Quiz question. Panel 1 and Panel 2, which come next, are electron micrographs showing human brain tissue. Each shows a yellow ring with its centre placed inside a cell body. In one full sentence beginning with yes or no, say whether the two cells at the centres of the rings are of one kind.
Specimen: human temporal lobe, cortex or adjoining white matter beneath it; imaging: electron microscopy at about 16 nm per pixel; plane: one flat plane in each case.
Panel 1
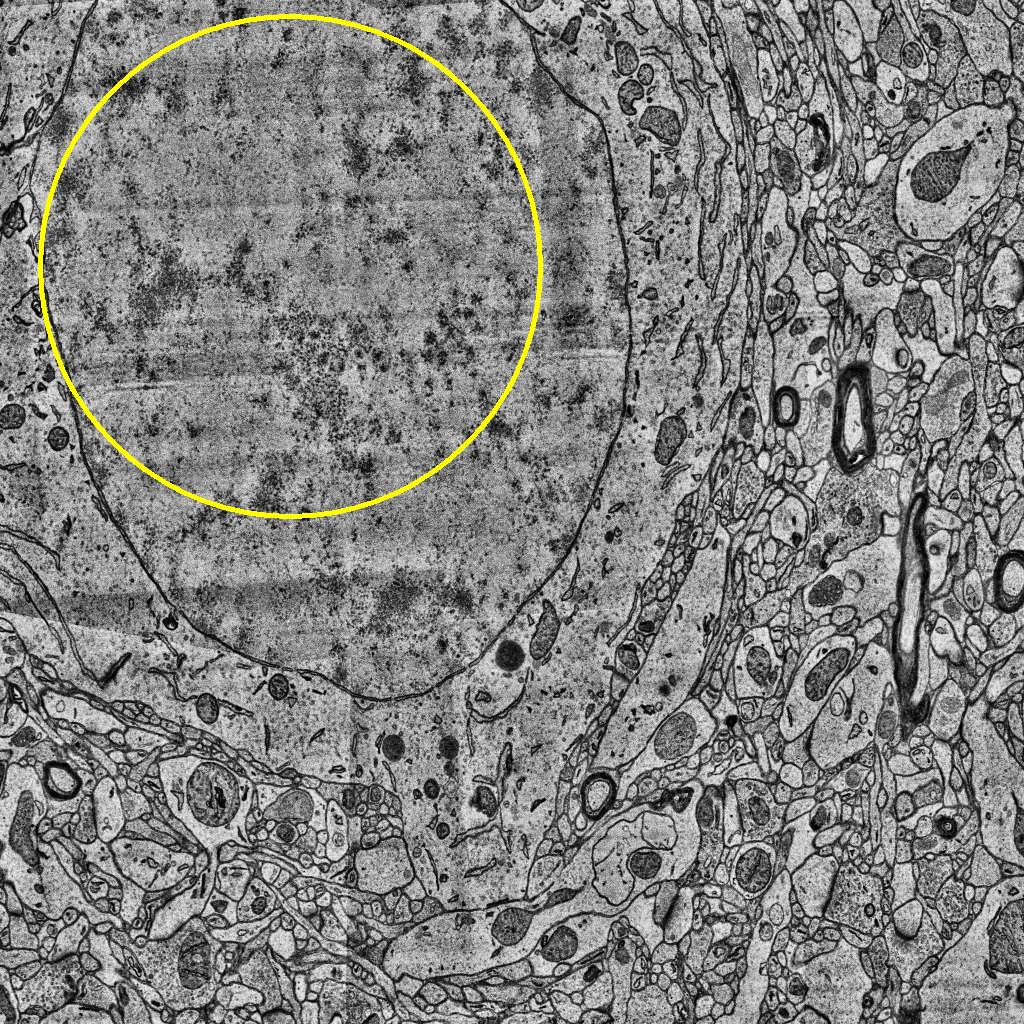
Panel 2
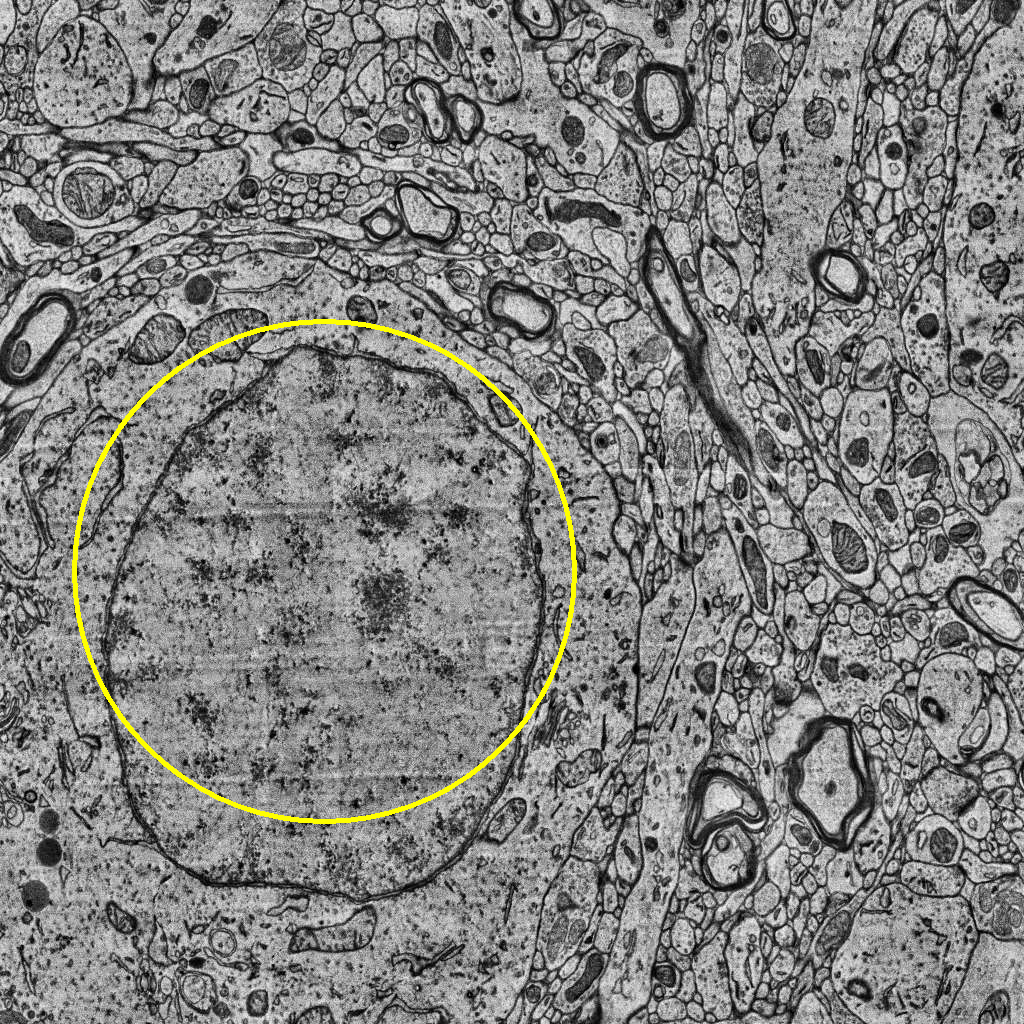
Yes, Panel 1 and Panel 2 show one kind of cell at the centre of the ring.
